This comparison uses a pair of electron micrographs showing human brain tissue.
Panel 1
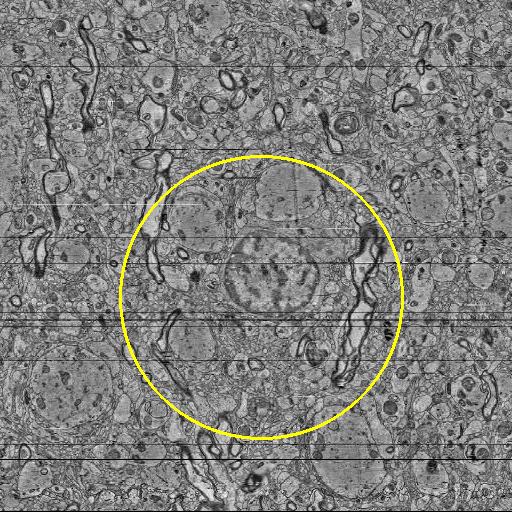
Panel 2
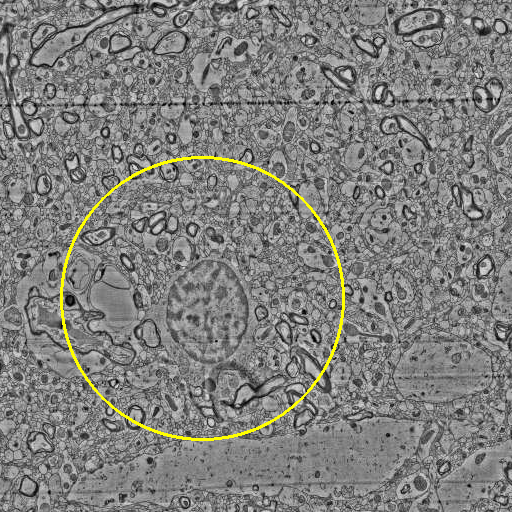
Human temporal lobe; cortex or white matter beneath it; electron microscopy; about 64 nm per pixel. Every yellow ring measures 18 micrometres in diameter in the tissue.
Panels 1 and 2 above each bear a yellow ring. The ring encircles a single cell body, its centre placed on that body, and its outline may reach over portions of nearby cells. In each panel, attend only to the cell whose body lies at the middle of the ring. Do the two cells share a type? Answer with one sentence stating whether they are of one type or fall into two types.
In Panel 1 and Panel 2, the cells at the centres of the rings are of one type.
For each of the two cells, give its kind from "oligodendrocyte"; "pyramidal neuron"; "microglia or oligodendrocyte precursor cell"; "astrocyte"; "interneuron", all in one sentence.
Both the first and the second picture show an oligodendrocyte in the ring.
